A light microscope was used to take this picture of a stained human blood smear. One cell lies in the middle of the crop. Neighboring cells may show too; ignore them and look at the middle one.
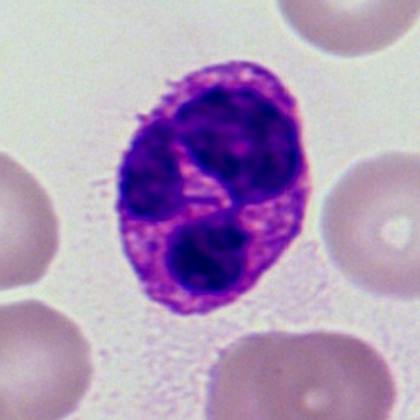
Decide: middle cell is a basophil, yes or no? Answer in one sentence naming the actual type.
Yes, the cell at the crop's center is a basophil.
